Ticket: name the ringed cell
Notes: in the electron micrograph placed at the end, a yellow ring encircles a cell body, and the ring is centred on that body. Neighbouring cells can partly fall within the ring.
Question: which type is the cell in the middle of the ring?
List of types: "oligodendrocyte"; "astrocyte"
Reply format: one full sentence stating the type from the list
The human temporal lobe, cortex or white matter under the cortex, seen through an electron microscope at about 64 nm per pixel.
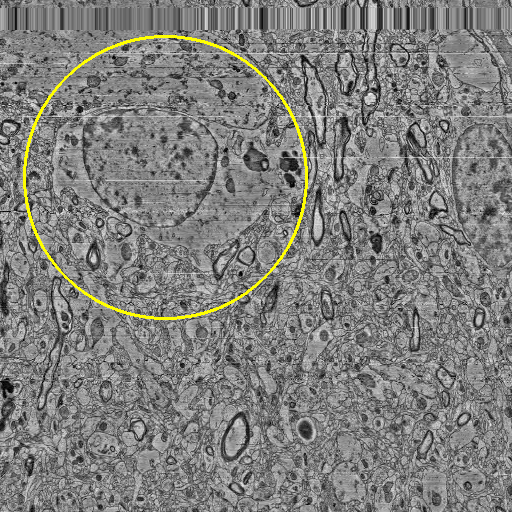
The cell sitting at the centre of the yellow ring is an astrocyte.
